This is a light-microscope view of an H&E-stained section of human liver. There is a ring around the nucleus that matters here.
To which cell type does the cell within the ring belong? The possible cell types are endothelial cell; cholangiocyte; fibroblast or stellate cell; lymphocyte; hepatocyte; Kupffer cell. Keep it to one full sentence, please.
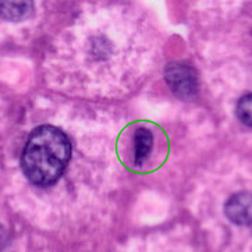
Among the cells in this section, the cell within the ring is a fibroblast or stellate cell.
